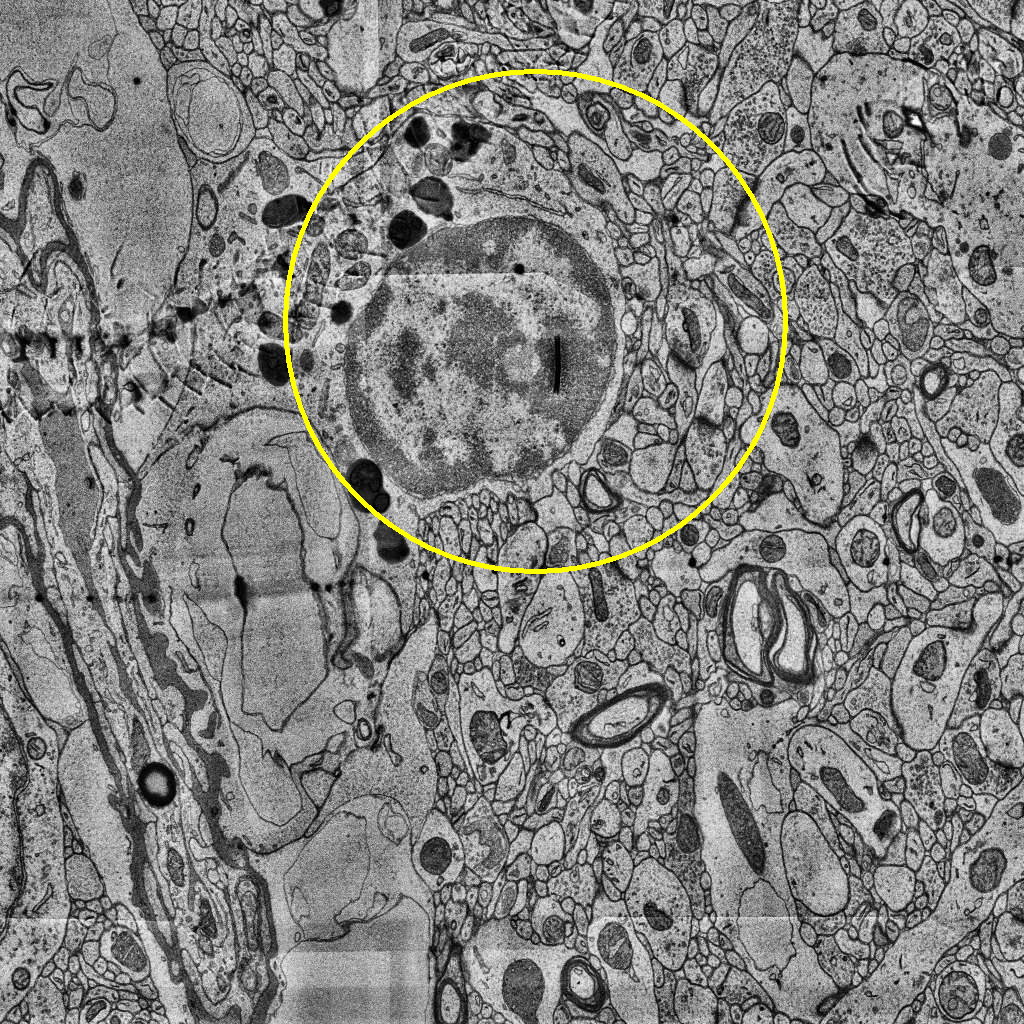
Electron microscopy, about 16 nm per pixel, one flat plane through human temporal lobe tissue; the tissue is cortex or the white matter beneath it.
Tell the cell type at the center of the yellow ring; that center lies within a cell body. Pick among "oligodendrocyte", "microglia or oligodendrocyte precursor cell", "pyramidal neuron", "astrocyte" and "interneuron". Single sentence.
The ring's center lies in the body of a microglial cell or oligodendrocyte precursor cell.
